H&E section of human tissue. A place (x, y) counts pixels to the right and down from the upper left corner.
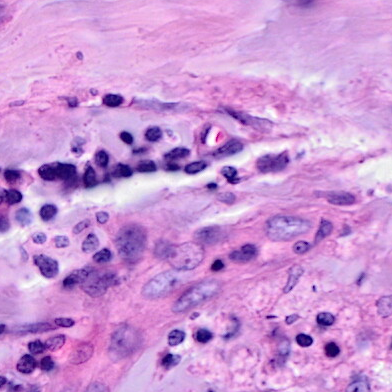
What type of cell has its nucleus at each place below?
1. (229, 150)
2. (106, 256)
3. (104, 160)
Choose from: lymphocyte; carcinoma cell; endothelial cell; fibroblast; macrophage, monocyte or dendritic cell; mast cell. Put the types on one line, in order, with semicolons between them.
endothelial cell; lymphocyte; lymphocyte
